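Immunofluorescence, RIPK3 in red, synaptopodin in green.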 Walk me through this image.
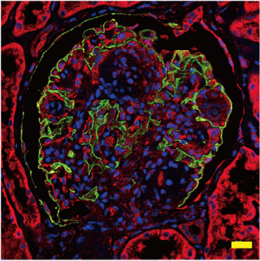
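Kidney cortex with a large glomerulus in a dark space bordered by a capsule, surrounded by red-stained tubules. The green lines along the capillary loops are thin and interrupted, and the tuft between them is densely filled with red staining and crowded blue nuclei.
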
